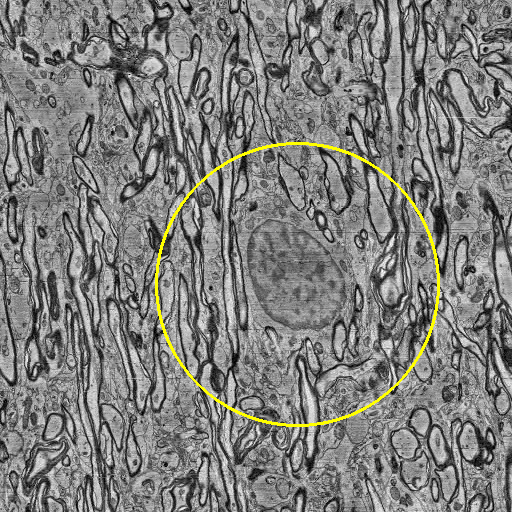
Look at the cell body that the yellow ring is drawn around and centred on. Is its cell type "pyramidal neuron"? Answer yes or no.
no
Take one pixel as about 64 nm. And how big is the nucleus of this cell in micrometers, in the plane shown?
In this plane the nucleus measures roughly 8 by 5 micrometers.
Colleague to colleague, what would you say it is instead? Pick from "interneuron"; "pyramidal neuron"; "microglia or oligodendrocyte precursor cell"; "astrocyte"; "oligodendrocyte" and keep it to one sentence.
Instead, the ringed cell here is an oligodendrocyte.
